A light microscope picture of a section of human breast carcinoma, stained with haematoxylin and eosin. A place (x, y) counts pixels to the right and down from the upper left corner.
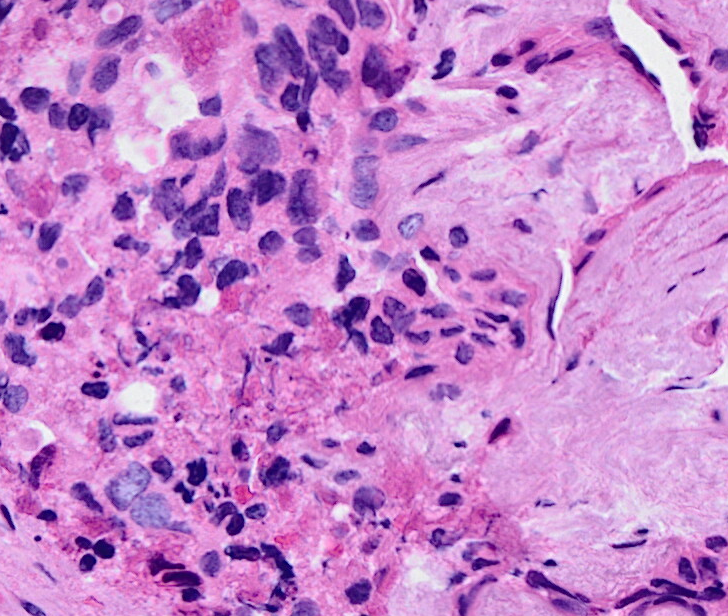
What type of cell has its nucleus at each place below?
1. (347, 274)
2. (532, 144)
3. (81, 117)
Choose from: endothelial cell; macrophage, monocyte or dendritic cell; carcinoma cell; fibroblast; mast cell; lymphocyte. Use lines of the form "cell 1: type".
cell 1: carcinoma cell
cell 2: fibroblast
cell 3: carcinoma cell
